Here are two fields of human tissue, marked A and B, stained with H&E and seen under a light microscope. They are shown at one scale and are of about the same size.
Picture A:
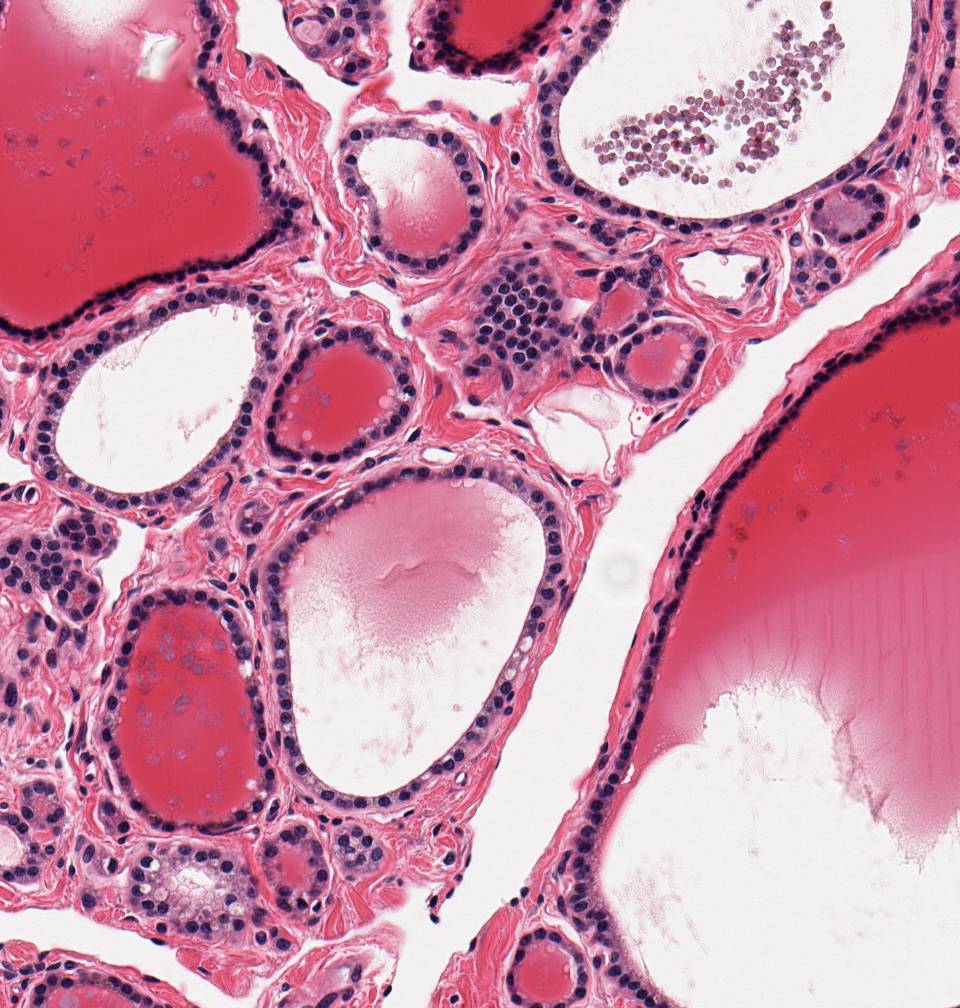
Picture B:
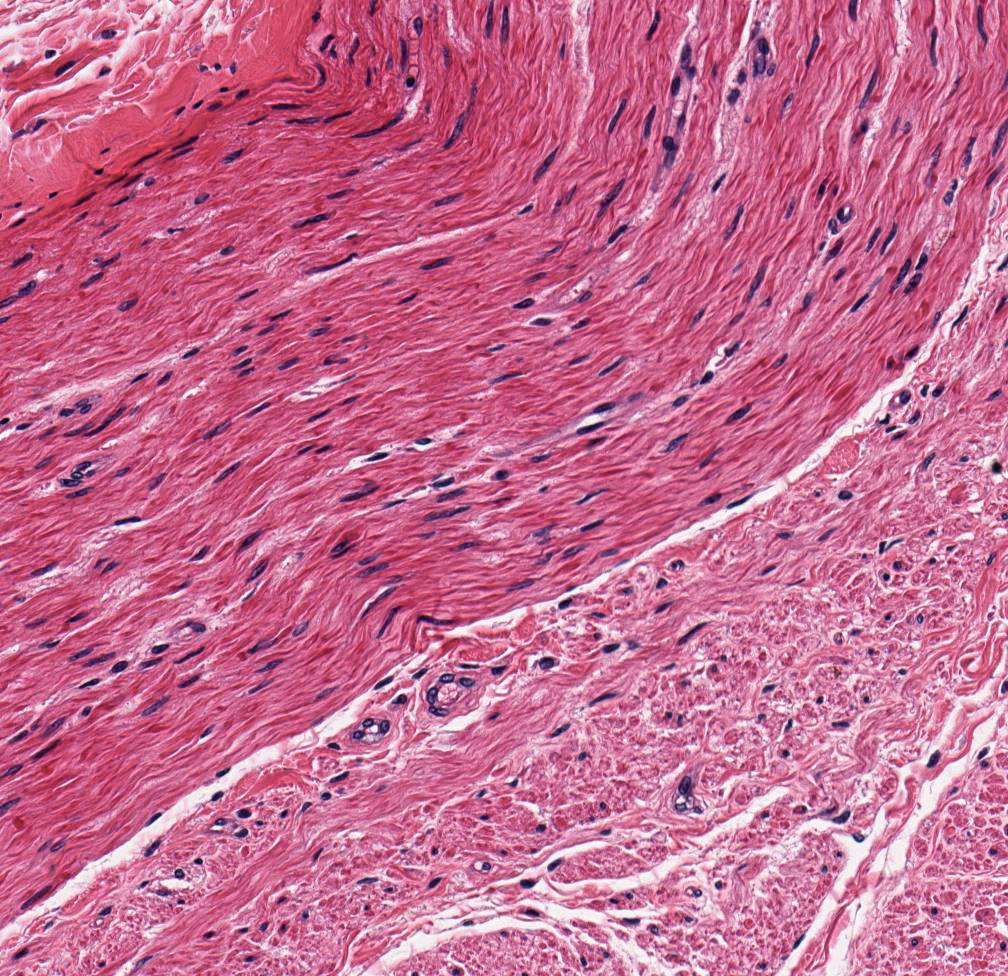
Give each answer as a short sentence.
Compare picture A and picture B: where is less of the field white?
It is picture B that stained tissue fills more completely.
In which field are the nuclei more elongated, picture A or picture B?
The nuclei are more elongated in picture B.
